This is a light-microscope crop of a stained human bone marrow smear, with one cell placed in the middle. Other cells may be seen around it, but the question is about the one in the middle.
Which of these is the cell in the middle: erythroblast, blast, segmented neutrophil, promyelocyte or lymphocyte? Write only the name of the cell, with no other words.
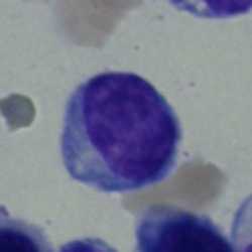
lymphocyte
